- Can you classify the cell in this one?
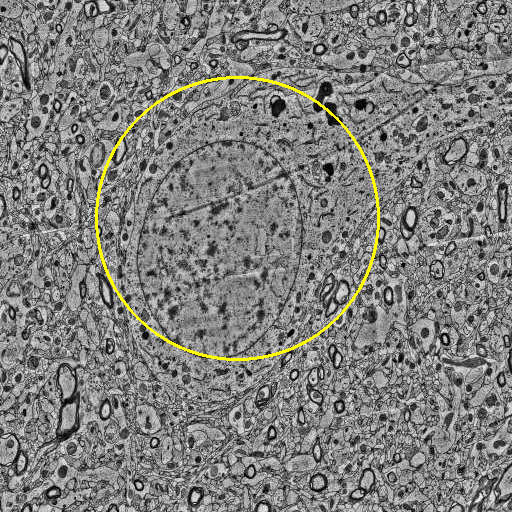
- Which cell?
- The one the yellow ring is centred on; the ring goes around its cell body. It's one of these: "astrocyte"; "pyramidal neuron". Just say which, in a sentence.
The cell body in the ring belongs to a pyramidal neuron.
